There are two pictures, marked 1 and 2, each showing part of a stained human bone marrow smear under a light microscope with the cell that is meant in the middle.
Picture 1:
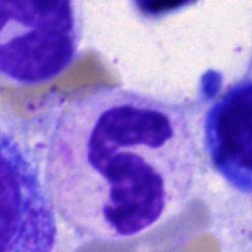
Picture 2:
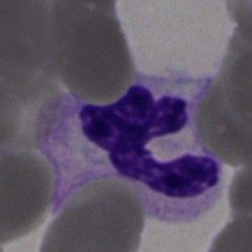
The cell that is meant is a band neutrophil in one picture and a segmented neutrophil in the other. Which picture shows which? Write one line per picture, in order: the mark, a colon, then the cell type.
1: band neutrophil
2: segmented neutrophil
